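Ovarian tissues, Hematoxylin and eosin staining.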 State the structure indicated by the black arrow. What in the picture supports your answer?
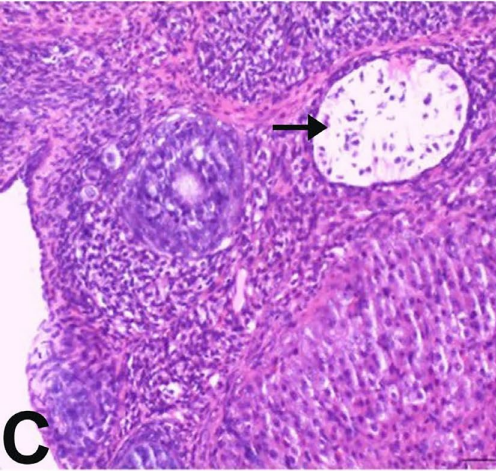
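The arrow points to a large rounded, largely empty space. The space is lined by only a thin rim of cells.
Answer: cystic follicles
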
